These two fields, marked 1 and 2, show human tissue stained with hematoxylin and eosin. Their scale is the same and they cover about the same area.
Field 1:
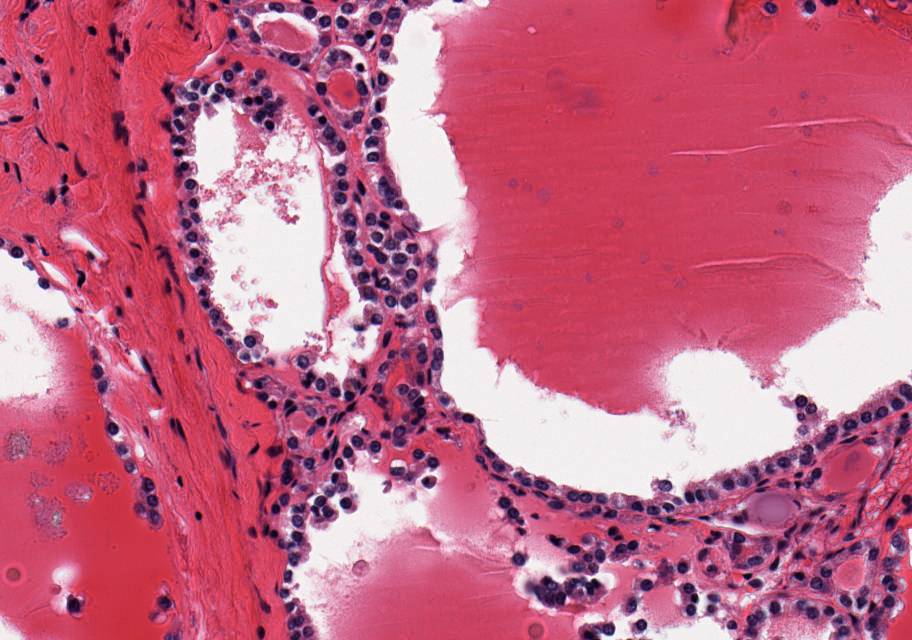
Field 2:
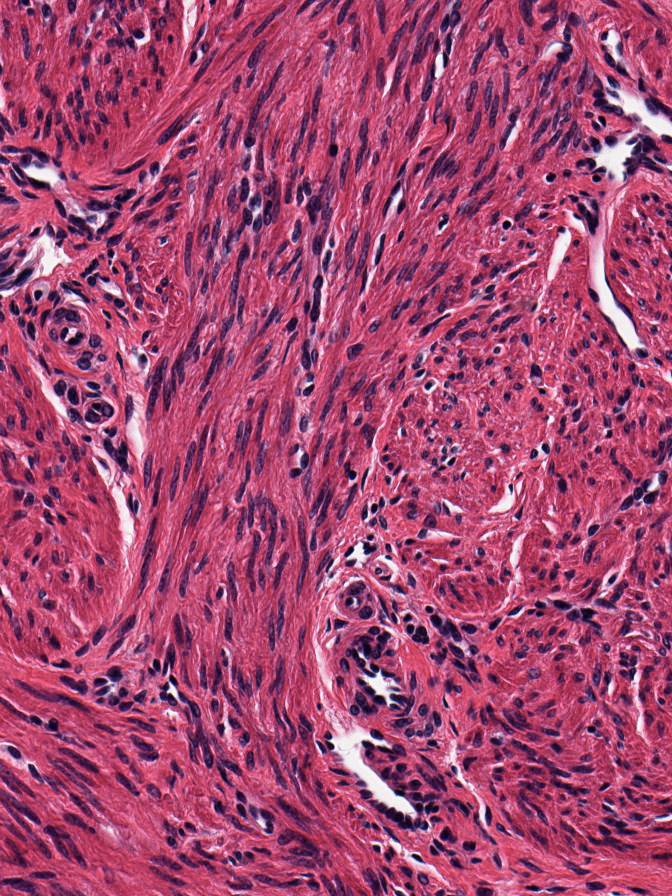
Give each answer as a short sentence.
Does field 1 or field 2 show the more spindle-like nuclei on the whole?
It is field 2 whose nuclei are the more elongated.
